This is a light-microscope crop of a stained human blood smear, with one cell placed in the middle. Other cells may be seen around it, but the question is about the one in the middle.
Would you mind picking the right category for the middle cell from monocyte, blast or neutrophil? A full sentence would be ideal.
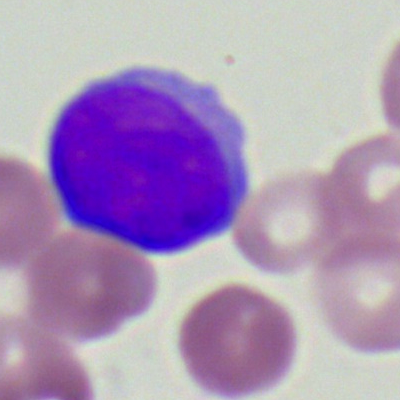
On this slide crop, the central cell is a blast.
